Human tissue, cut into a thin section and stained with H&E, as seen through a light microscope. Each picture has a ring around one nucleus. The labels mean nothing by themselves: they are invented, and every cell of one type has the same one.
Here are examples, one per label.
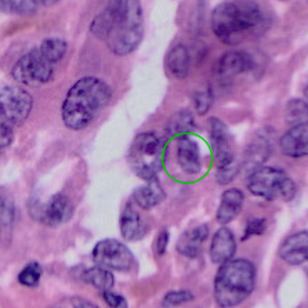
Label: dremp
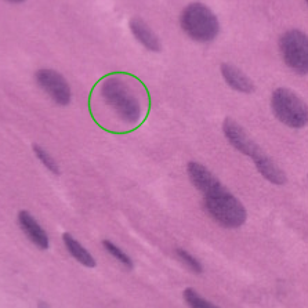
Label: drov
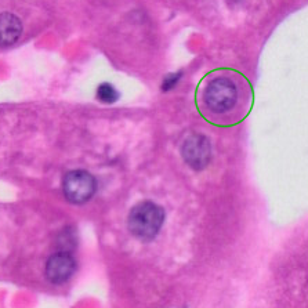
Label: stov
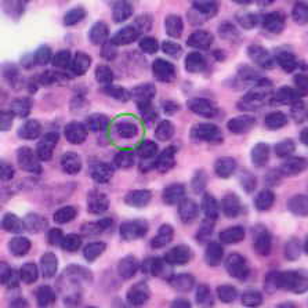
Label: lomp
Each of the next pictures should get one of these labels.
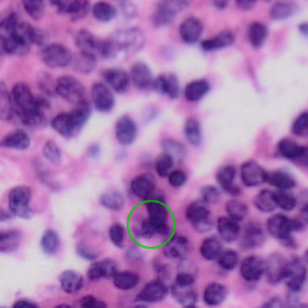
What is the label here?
lomp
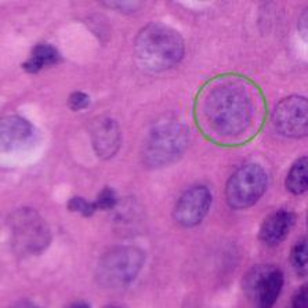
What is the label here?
drov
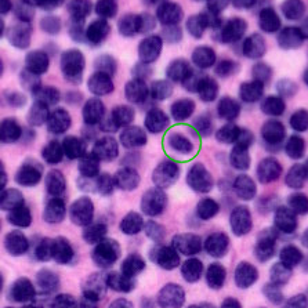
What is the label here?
lomp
